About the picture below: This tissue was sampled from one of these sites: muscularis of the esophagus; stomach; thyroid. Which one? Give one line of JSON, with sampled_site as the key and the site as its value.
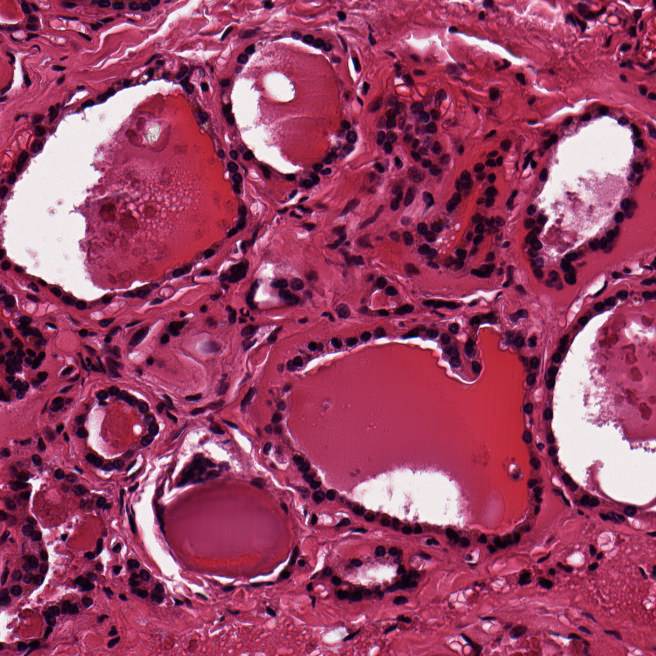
{"sampled_site": "thyroid"}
